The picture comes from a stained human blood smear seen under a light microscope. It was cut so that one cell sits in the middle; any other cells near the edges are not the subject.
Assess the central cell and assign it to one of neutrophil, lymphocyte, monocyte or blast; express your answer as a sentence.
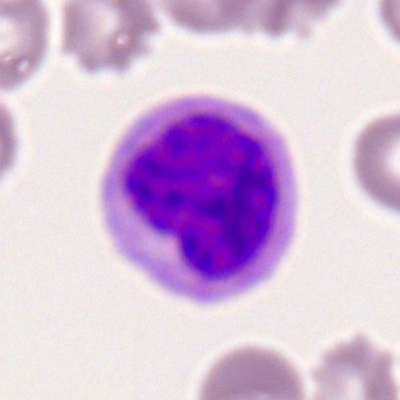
The cell at the middle of the frame should be recorded as a monocyte.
